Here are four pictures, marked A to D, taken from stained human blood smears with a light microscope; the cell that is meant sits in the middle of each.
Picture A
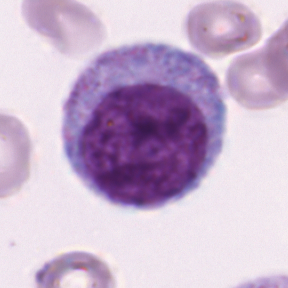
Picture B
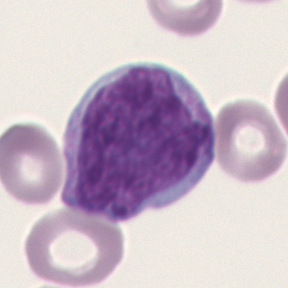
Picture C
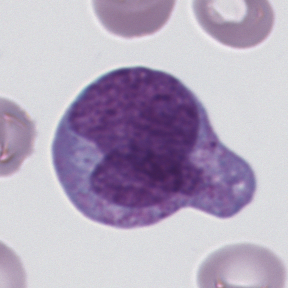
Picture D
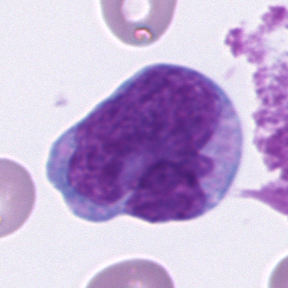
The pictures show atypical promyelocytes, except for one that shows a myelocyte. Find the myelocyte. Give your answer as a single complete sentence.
It is picture A that shows the myelocyte.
